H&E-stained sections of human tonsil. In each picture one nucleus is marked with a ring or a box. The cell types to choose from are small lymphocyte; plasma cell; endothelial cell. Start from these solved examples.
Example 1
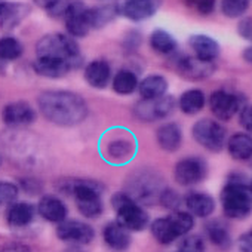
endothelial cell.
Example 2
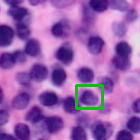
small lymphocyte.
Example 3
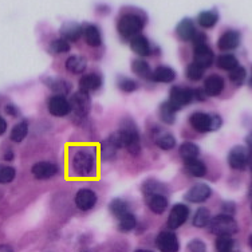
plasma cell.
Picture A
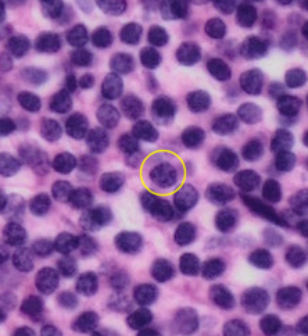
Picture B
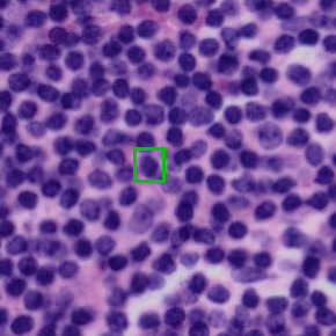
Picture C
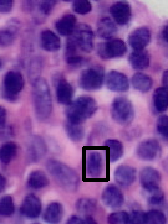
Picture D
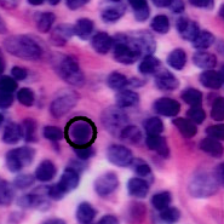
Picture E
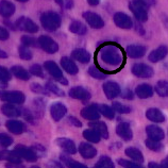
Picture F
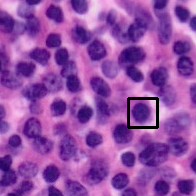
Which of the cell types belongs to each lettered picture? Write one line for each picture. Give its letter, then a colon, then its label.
A: small lymphocyte.
B: small lymphocyte.
C: endothelial cell.
D: endothelial cell.
E: plasma cell.
F: plasma cell.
